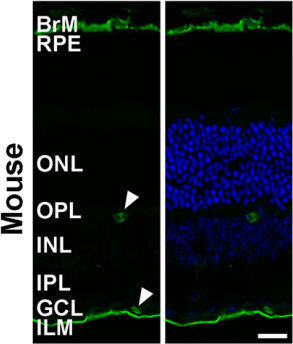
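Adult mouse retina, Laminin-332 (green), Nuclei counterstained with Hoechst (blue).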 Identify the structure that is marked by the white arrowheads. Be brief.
Blood vessels.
